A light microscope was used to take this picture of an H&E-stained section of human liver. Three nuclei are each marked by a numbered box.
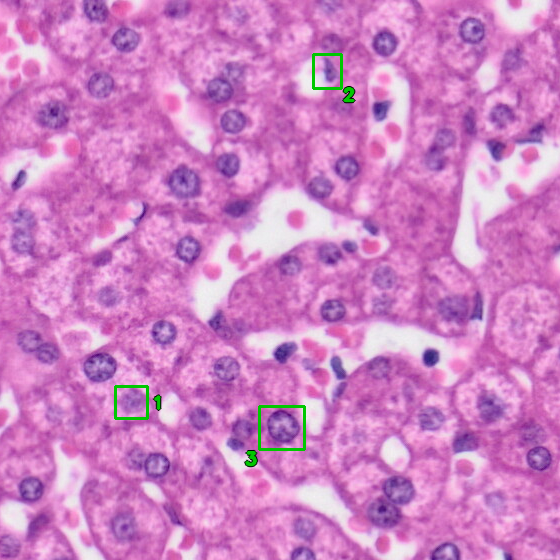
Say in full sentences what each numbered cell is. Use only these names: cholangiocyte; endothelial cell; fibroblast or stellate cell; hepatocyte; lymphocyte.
Cells 1 and 3 are hepatocytes. Cell 2 is an endothelial cell.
